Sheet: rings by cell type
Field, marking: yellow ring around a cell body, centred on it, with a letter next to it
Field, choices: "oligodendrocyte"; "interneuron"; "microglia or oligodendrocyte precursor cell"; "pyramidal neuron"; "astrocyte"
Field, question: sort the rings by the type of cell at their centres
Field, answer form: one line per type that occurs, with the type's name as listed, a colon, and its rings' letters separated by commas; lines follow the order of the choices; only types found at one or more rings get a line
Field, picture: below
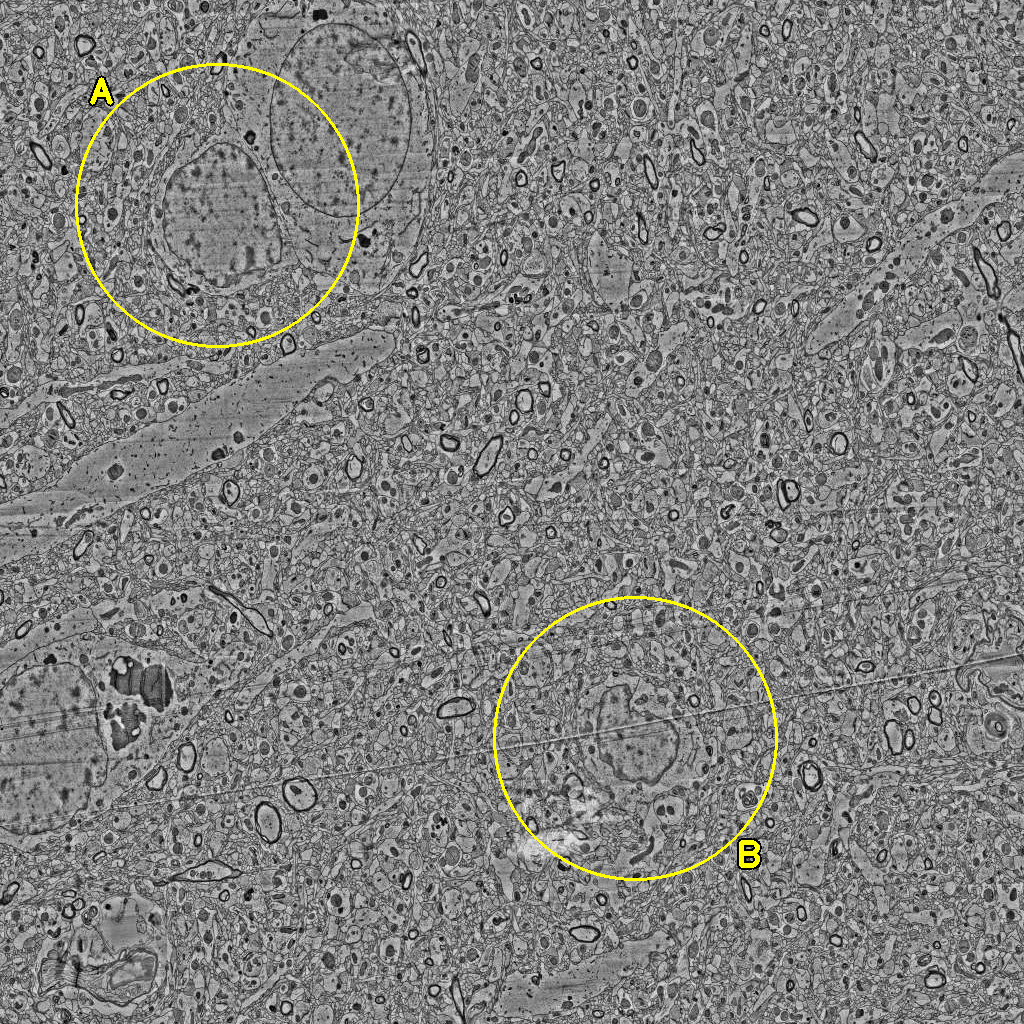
interneuron: A, B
